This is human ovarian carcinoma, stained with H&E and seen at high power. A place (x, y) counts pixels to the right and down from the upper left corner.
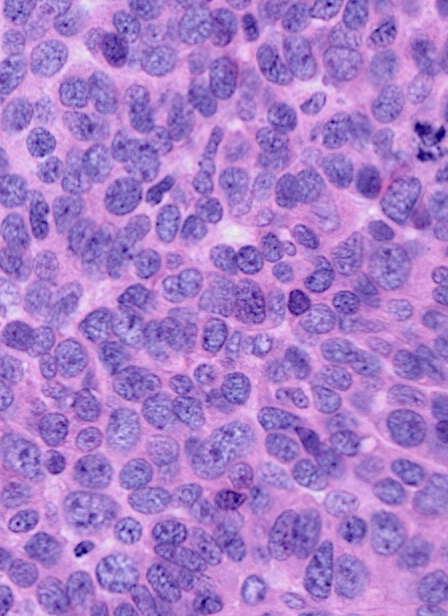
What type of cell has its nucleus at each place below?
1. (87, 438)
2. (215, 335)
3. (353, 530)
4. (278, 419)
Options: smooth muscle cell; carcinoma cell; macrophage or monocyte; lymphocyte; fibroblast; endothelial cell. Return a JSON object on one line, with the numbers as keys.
{"1": "carcinoma cell", "2": "carcinoma cell", "3": "macrophage or monocyte", "4": "carcinoma cell"}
